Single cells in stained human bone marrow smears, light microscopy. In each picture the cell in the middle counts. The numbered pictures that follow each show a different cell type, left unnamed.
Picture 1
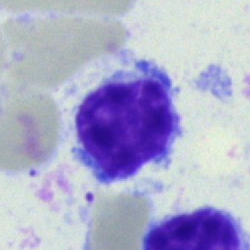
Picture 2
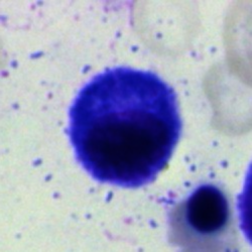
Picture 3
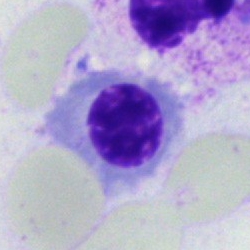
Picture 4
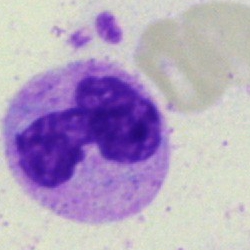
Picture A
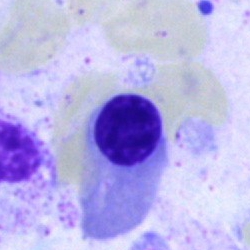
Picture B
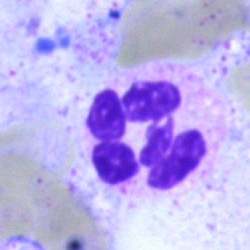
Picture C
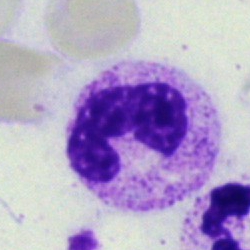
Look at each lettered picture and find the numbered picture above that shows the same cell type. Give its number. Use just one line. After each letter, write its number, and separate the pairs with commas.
A 3, B 4, C 4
